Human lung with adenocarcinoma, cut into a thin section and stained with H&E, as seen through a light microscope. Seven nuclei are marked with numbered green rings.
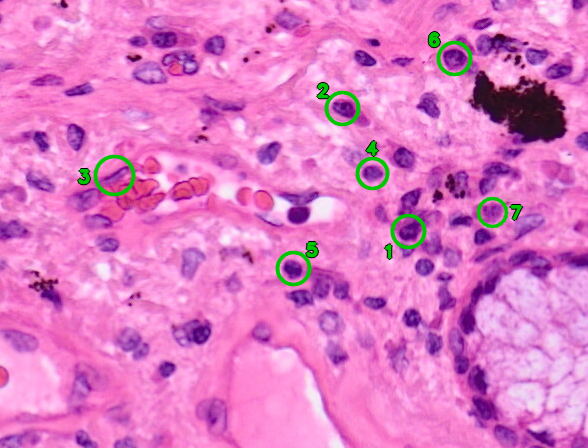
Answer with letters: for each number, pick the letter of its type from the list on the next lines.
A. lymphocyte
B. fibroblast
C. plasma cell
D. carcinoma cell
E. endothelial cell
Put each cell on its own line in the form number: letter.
1: C
2: C
3: E
4: A
5: A
6: C
7: C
